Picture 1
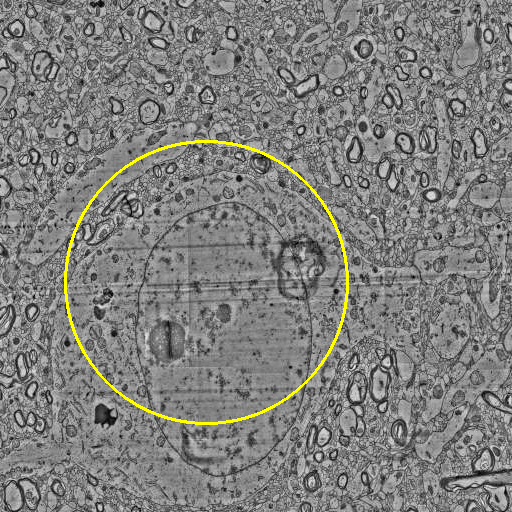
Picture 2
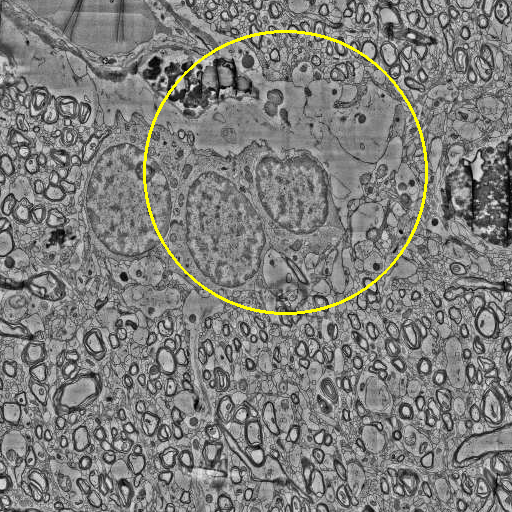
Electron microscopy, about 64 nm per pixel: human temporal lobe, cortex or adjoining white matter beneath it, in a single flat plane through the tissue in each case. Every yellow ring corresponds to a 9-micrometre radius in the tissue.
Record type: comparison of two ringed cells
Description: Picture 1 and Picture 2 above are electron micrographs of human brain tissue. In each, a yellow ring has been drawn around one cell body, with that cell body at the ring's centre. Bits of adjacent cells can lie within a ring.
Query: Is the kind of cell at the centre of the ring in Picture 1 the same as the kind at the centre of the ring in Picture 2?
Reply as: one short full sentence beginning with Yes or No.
No, the two ringed cells are of two separate kinds.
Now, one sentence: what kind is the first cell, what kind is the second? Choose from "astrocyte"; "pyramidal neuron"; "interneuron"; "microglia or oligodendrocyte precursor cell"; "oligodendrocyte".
The first picture has a pyramidal neuron at its ring centre, and the second has an oligodendrocyte.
